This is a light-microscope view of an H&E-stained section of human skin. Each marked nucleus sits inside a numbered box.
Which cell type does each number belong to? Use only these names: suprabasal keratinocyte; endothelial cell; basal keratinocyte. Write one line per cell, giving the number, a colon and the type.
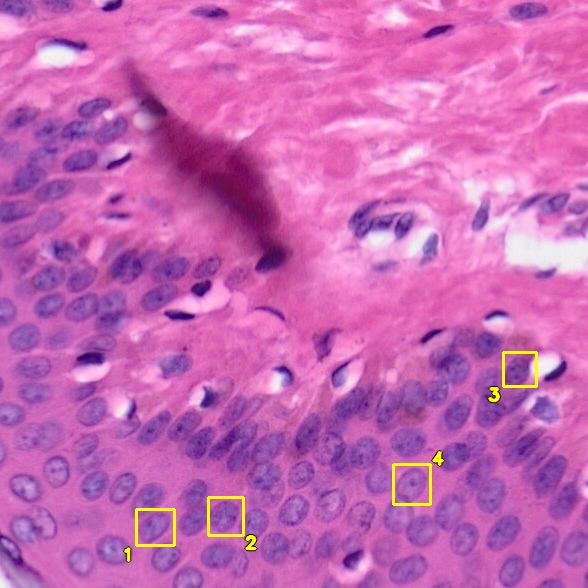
1: suprabasal keratinocyte
2: suprabasal keratinocyte
3: basal keratinocyte
4: suprabasal keratinocyte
